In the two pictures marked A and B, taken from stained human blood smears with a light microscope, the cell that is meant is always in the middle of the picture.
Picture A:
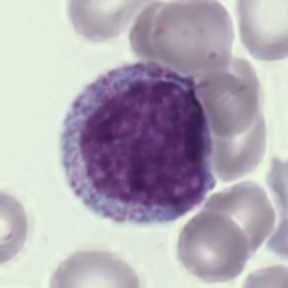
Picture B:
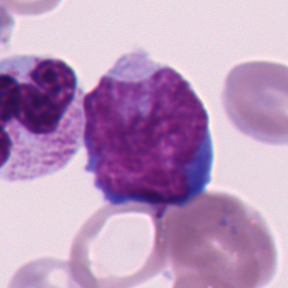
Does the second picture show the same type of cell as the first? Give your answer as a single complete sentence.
No; the cell in picture A is a promyelocyte, while the one in picture B is a myeloblast.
